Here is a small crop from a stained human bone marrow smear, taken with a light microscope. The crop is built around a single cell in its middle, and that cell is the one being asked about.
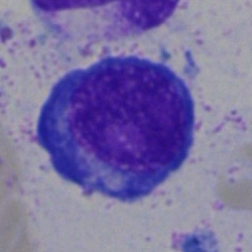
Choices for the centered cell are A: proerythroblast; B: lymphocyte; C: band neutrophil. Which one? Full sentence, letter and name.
Option A is the right one, for the cell in the middle is a proerythroblast.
